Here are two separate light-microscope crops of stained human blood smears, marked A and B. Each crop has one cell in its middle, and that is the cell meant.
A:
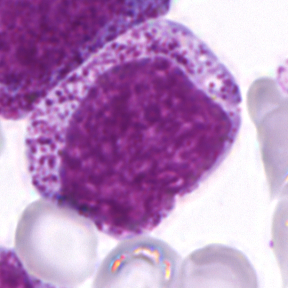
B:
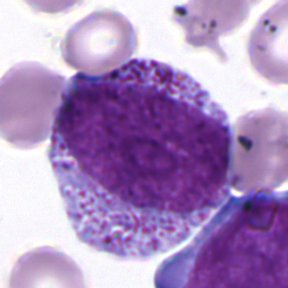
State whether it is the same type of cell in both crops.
yes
